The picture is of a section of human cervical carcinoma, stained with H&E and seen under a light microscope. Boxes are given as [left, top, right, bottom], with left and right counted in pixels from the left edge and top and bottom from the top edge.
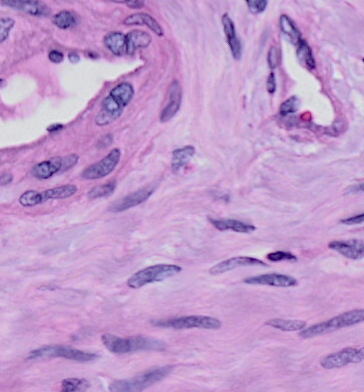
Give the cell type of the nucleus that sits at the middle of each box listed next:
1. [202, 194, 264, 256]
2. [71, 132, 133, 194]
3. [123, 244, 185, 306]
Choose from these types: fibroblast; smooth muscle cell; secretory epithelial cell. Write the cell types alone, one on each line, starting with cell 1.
fibroblast
smooth muscle cell
fibroblast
